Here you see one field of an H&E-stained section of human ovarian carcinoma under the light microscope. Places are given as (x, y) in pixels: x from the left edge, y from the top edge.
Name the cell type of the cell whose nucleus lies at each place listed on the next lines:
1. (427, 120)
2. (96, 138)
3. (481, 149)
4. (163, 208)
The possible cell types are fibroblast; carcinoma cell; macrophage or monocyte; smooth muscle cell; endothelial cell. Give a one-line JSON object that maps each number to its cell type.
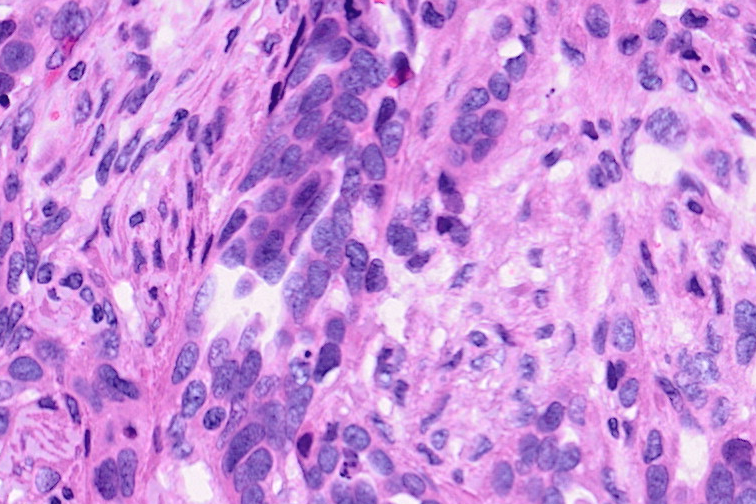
{"1": "fibroblast", "2": "fibroblast", "3": "carcinoma cell", "4": "fibroblast"}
